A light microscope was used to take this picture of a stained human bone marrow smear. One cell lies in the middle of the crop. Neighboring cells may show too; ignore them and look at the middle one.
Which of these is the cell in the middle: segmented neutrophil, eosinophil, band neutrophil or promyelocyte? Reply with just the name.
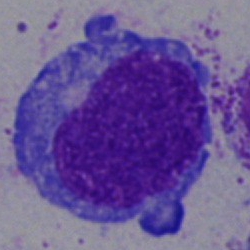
promyelocyte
